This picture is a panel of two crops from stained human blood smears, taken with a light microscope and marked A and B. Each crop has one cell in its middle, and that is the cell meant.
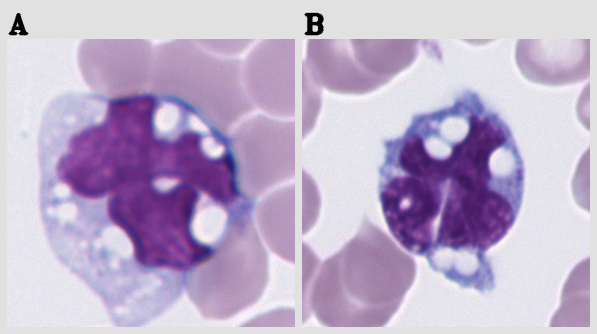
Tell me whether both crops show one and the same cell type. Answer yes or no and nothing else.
yes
